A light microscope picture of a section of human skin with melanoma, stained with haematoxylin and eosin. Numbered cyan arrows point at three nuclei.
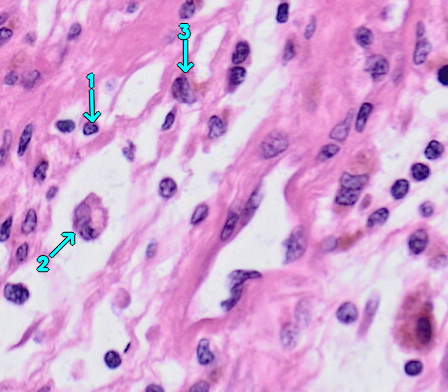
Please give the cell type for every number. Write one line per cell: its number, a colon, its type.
1: lymphocyte
2: macrophage or monocyte
3: macrophage or monocyte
